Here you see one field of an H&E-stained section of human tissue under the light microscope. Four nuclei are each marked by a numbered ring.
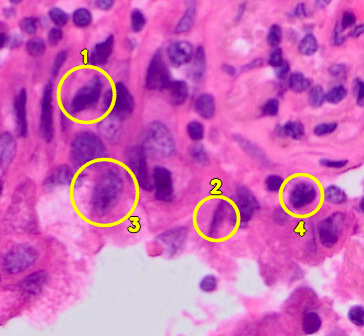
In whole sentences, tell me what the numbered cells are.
Cells 1, 2 and 3 are carcinoma cells. Cell 4 is a lymphocyte.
